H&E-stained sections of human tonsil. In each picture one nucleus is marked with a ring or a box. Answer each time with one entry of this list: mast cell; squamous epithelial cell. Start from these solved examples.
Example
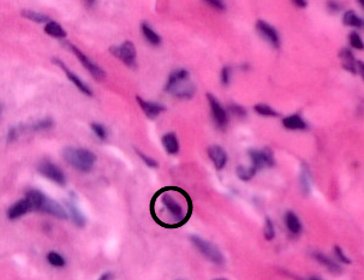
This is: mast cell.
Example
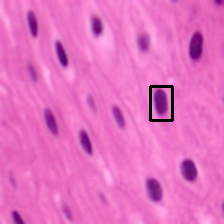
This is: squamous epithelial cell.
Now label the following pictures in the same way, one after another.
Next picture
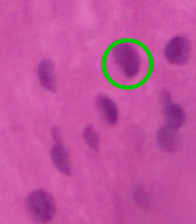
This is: squamous epithelial cell.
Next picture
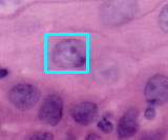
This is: squamous epithelial cell.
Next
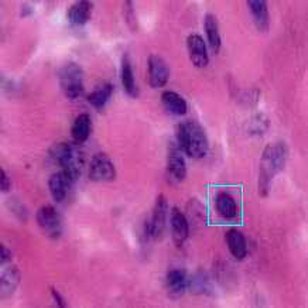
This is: mast cell.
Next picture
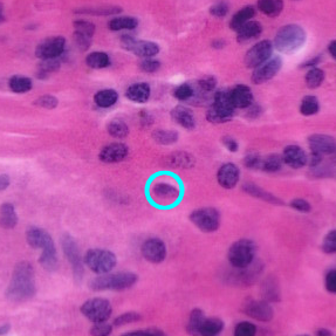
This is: mast cell.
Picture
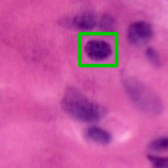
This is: mast cell.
